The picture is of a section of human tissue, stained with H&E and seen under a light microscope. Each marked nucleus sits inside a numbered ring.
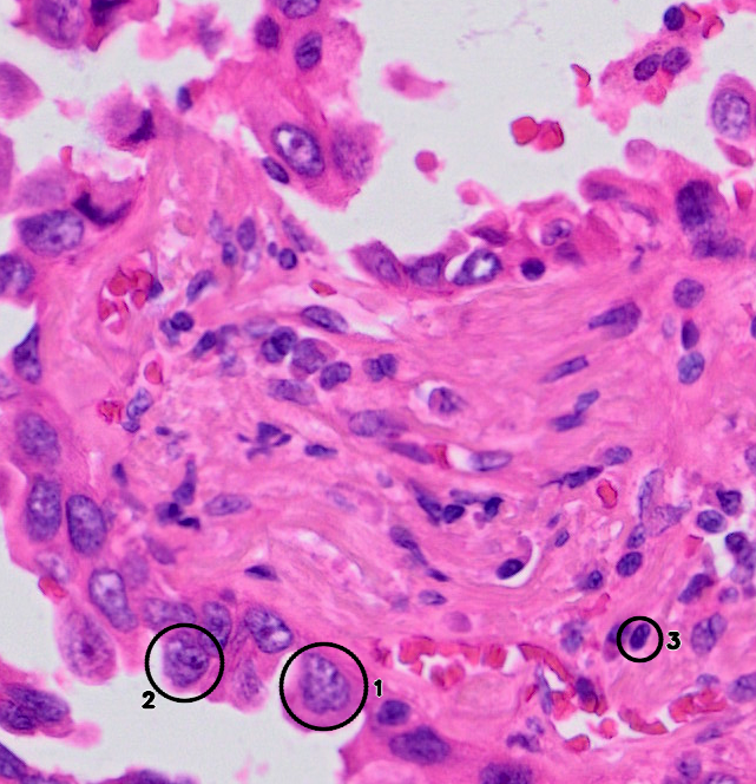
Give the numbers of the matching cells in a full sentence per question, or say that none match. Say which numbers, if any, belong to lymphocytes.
With the exception of cell 3, no marked cell is a lymphocyte.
